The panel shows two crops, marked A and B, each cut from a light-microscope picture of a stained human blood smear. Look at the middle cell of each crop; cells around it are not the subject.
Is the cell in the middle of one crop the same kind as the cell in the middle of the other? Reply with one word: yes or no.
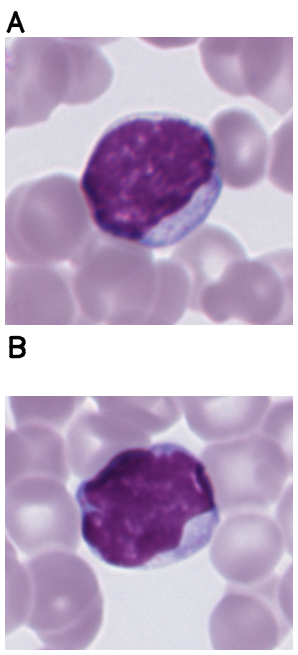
yes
